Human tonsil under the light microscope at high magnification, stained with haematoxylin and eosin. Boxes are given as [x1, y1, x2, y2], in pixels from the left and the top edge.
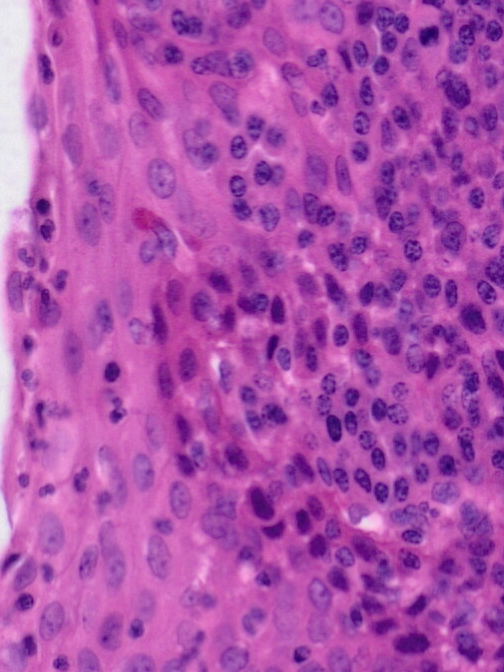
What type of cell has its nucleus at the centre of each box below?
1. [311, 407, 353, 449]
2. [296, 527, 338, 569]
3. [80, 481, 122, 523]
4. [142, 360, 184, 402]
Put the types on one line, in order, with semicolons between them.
plasma cell; squamous epithelial cell; squamous epithelial cell; squamous epithelial cell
